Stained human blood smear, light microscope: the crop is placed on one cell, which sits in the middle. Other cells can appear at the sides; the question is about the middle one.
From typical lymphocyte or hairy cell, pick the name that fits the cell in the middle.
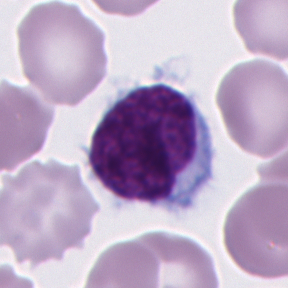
hairy cell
